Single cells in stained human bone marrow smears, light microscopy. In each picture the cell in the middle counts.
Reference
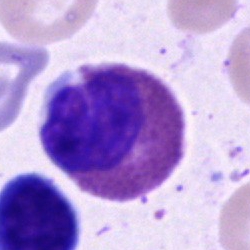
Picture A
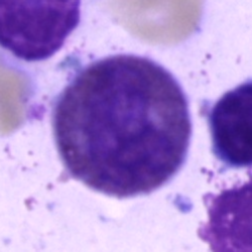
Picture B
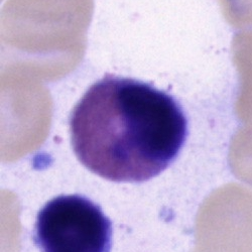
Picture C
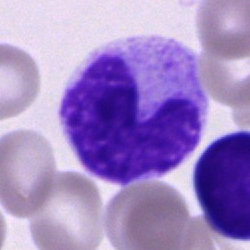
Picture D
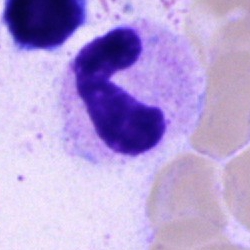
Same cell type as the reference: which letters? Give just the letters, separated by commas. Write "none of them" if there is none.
A, B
